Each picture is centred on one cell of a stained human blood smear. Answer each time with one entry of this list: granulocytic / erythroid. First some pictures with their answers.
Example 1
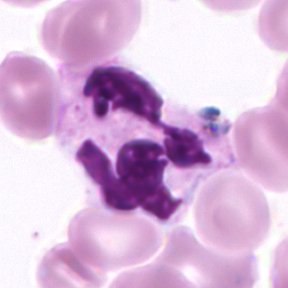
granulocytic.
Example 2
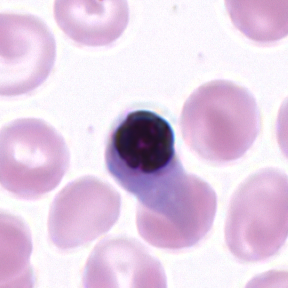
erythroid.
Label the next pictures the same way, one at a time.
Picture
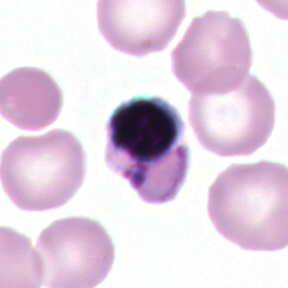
erythroid.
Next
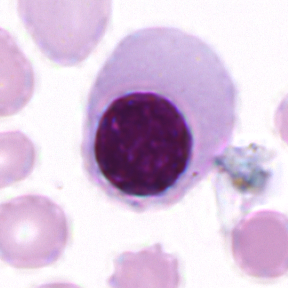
erythroid.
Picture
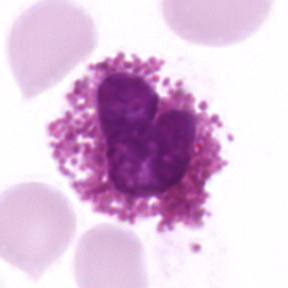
granulocytic.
